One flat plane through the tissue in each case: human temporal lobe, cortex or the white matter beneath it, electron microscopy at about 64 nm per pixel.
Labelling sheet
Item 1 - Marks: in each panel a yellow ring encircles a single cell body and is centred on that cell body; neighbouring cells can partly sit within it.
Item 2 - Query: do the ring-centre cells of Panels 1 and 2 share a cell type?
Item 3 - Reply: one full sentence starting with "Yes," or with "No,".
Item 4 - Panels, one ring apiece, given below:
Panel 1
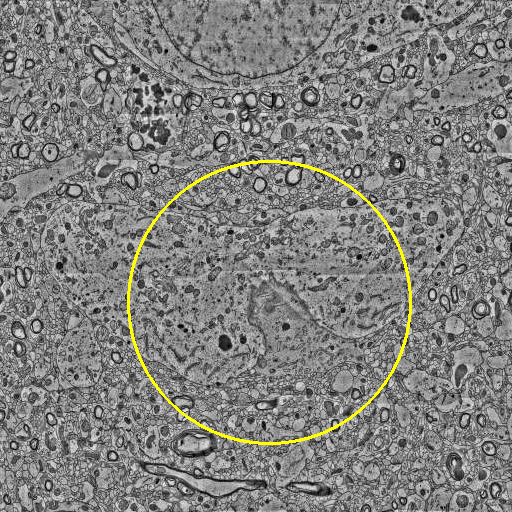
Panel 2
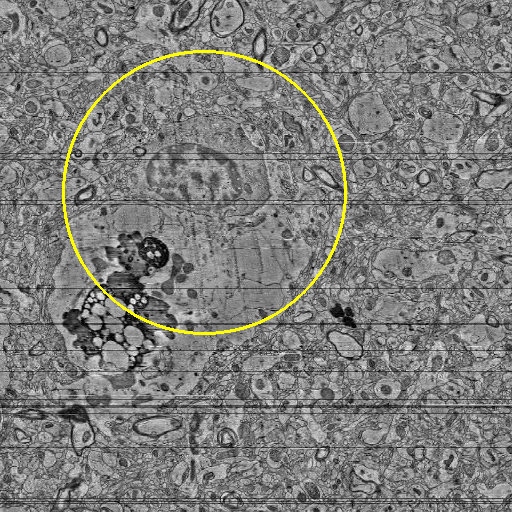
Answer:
Yes, Panel 1 and Panel 2 show one cell type at the centres of their rings.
